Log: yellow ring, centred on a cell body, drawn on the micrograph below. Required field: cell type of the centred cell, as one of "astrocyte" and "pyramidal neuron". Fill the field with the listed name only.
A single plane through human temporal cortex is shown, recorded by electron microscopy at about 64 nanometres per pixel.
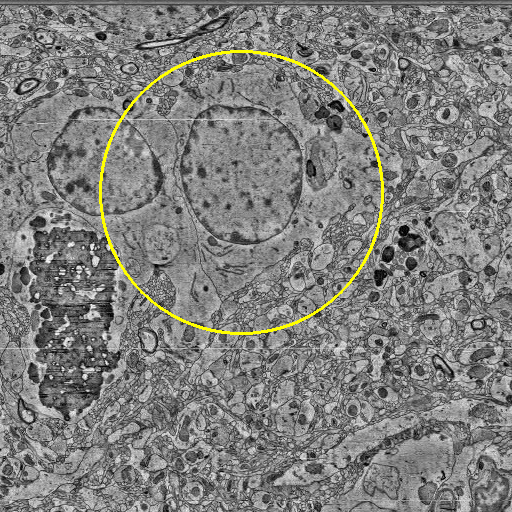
astrocyte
